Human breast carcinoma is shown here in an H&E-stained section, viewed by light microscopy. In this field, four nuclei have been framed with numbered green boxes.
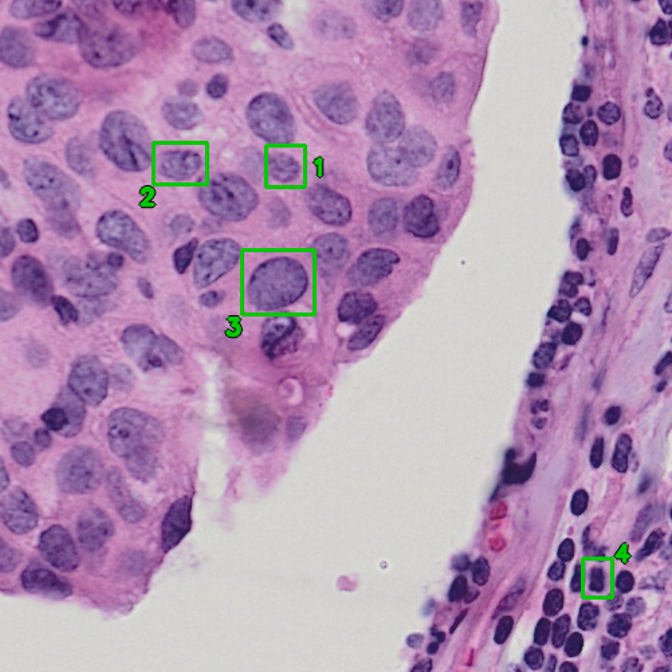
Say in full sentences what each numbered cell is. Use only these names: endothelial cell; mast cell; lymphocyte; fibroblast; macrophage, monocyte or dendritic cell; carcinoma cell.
Cells 1, 2 and 3 are carcinoma cells. Cell 4 is a lymphocyte.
